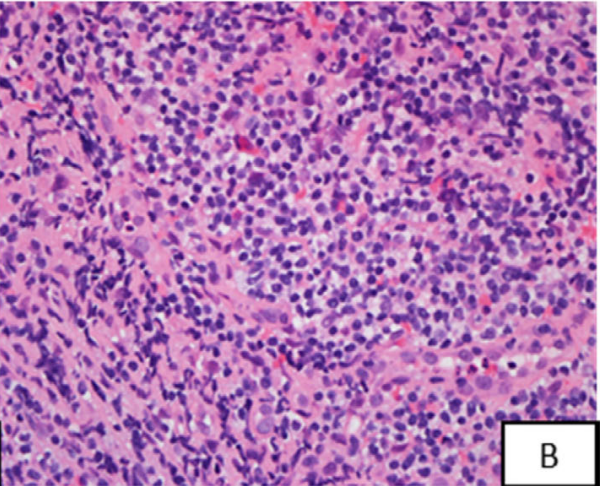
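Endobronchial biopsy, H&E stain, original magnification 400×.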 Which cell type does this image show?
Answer: Small‐ to medium‐sized monocytoid cells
